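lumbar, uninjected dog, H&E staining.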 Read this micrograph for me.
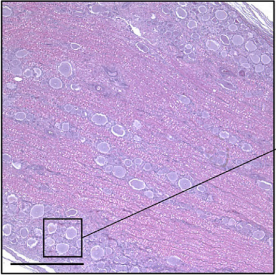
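This is a low-power section of a dorsal root ganglion. Large, round to oval ganglion cell bodies of varying sizes appear as pale pink-purple profiles arranged in clusters and longitudinal rows, concentrated mainly near the capsule and in bands through the section. Between these groups run broad, wavy pink bundles of nerve fibres oriented roughly in parallel. Smaller dark nuclei are scattered among the fibres and around the cell bodies. A thin layer of loose connective tissue forms a capsule along the outer edge. At this magnification the overall architecture is preserved, without obvious large areas of cell loss.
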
